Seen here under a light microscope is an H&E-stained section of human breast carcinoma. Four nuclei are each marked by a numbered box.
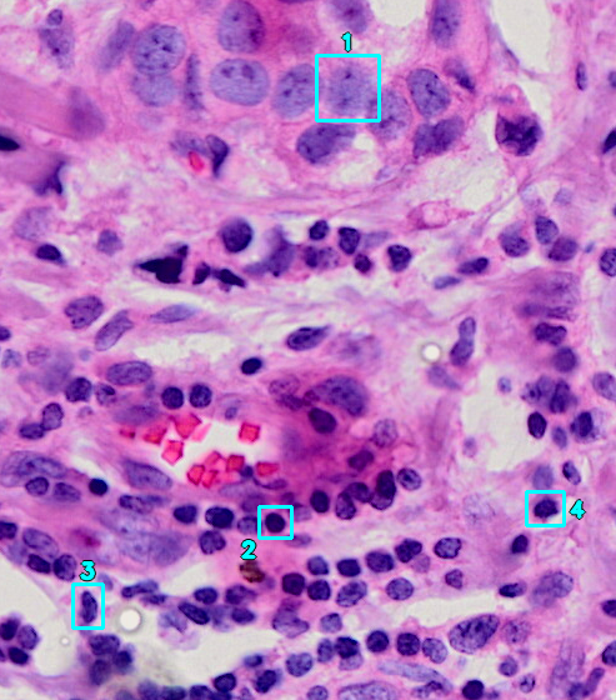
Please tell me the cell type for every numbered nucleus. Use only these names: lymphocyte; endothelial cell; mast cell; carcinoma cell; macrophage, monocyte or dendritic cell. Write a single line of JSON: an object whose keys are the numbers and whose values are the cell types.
{"1": "carcinoma cell", "2": "lymphocyte", "3": "lymphocyte", "4": "lymphocyte"}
